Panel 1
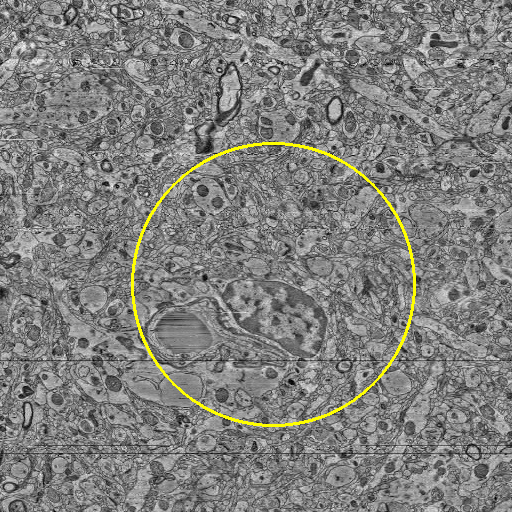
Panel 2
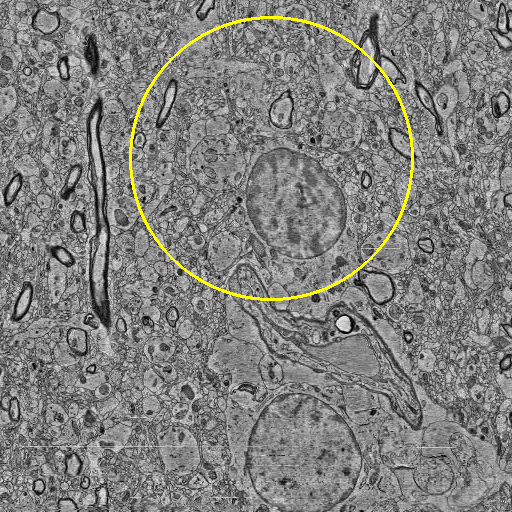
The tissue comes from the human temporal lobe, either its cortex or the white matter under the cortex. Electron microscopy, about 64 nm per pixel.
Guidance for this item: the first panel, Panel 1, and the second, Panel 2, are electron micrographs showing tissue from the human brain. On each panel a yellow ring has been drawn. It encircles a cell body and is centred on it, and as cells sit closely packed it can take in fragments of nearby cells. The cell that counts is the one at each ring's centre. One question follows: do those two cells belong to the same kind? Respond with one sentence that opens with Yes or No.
No, the cells at the ring centres in Panel 1 and Panel 2 are of two kinds.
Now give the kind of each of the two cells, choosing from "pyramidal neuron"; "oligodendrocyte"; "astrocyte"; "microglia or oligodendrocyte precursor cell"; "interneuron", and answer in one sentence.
The cell in the first picture is a microglial cell or oligodendrocyte precursor cell, and the cell in the second is an oligodendrocyte.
